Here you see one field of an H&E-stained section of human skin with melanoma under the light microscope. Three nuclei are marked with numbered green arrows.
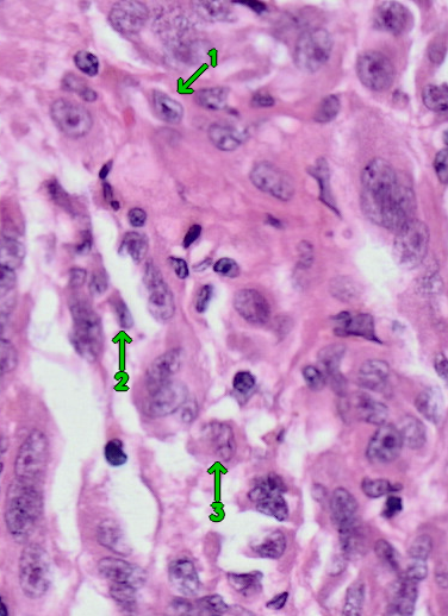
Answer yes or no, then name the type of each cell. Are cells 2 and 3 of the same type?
Yes, within the numbered set, cells 2 and 3 are both melanoma cells.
